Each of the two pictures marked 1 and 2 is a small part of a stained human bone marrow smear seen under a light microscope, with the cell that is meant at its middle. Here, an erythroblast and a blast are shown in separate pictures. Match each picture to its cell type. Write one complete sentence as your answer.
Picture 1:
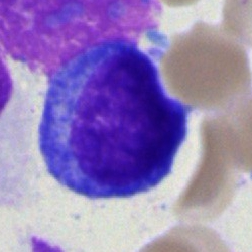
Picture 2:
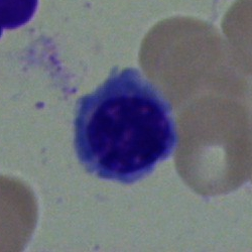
Picture 1 is of a blast, and picture 2 is of an erythroblast.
